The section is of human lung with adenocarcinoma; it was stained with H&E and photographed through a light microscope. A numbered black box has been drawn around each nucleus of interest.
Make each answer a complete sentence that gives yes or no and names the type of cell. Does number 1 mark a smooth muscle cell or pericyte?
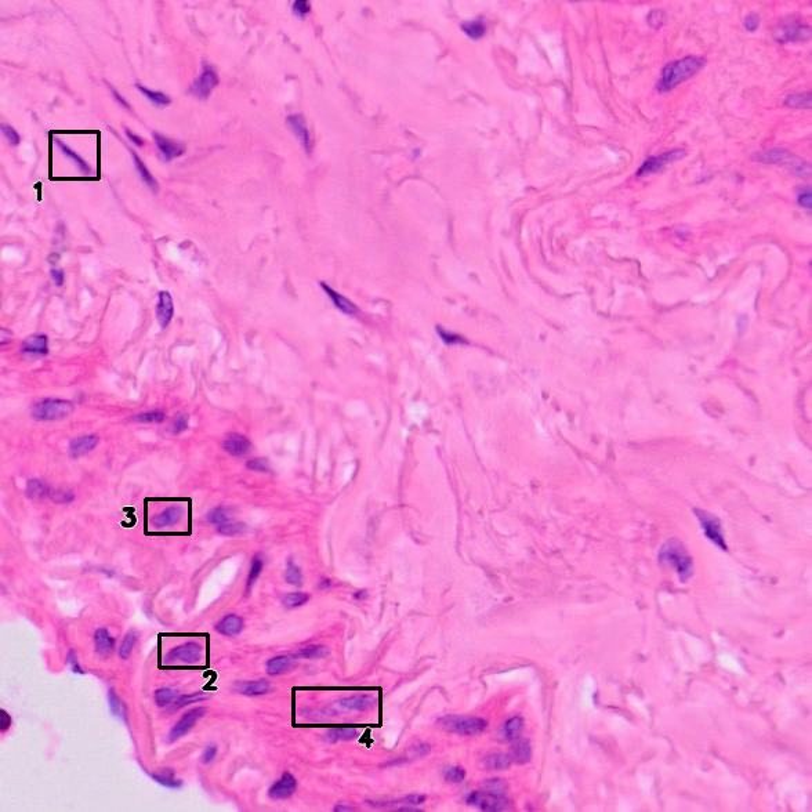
No, instead of a smooth muscle cell or pericyte, the cell with number 1 is a fibroblast.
